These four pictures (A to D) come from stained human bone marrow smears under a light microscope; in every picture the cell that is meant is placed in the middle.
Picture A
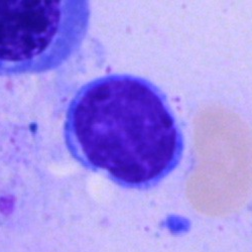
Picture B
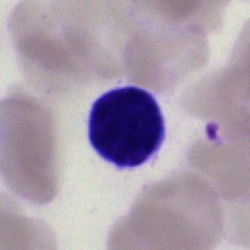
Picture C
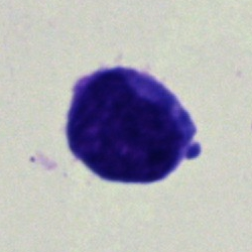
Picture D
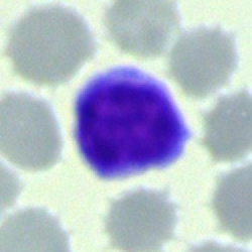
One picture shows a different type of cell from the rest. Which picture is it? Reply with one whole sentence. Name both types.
Picture C is the odd one out: it shows a blast, while the others show lymphocytes.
